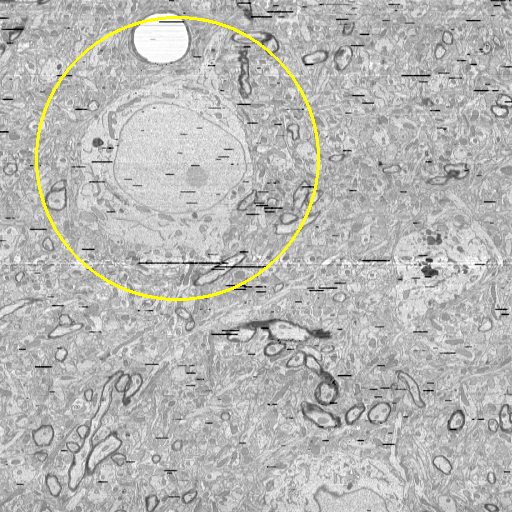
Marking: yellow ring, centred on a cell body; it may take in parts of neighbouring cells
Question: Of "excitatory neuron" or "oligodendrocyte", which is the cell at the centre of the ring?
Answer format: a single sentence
The ring surrounds the body of an excitatory neuron.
